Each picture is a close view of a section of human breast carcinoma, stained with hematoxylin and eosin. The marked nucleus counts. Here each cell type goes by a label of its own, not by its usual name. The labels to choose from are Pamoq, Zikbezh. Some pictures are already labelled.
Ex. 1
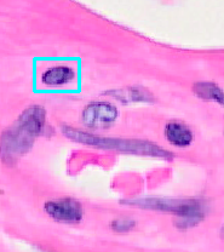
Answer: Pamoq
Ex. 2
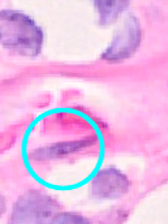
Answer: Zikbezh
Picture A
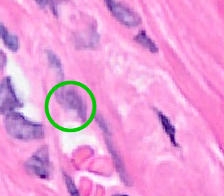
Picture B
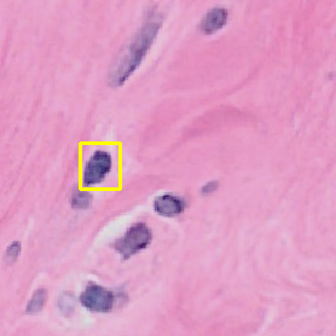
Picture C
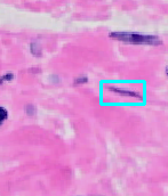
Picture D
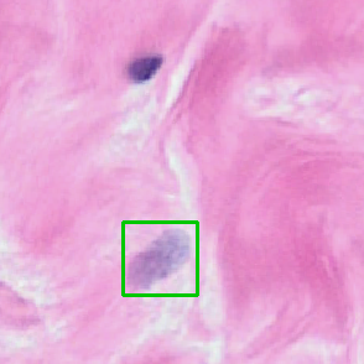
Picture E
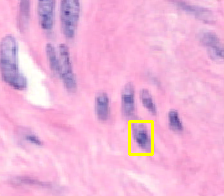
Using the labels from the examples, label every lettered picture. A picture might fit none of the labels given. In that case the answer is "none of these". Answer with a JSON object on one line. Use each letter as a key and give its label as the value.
{"A": "Zikbezh", "B": "Pamoq", "C": "none of these", "D": "none of these", "E": "Zikbezh"}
